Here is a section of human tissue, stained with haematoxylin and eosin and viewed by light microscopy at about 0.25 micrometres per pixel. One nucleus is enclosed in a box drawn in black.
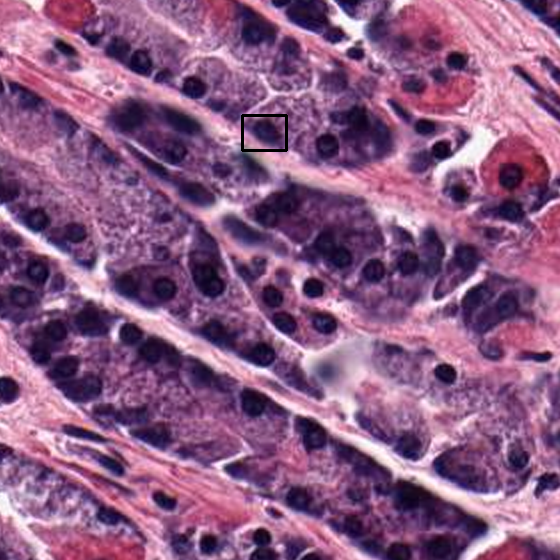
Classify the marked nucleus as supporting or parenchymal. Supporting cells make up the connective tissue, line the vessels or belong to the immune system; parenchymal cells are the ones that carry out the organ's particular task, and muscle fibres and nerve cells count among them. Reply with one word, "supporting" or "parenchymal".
parenchymal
